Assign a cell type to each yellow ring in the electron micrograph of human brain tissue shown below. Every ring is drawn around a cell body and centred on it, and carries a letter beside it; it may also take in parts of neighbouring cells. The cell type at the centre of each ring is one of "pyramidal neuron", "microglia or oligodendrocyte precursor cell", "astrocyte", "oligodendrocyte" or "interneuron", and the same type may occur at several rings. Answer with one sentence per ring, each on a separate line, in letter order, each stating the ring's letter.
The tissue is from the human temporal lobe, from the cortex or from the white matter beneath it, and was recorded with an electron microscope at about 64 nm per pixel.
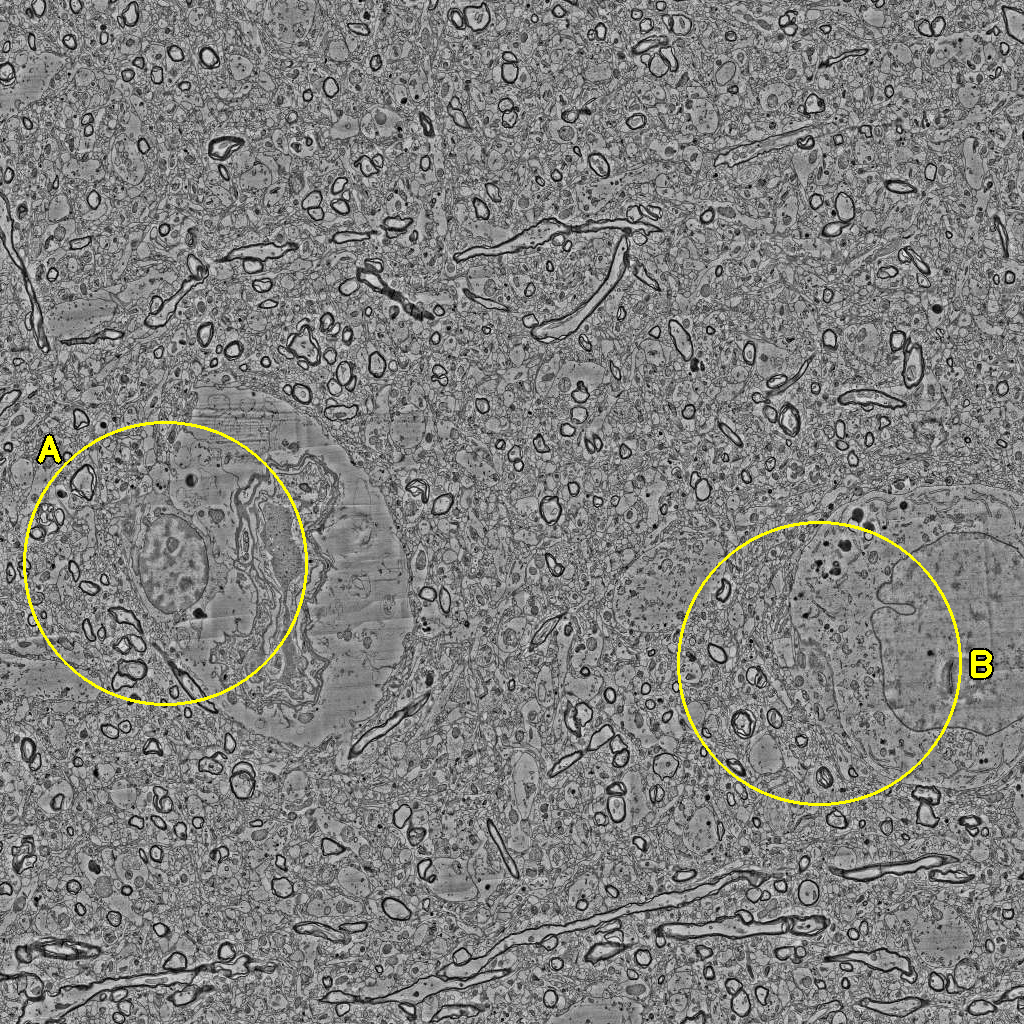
The cell at ring A's centre is an oligodendrocyte.
The cell at ring B's centre is an oligodendrocyte.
